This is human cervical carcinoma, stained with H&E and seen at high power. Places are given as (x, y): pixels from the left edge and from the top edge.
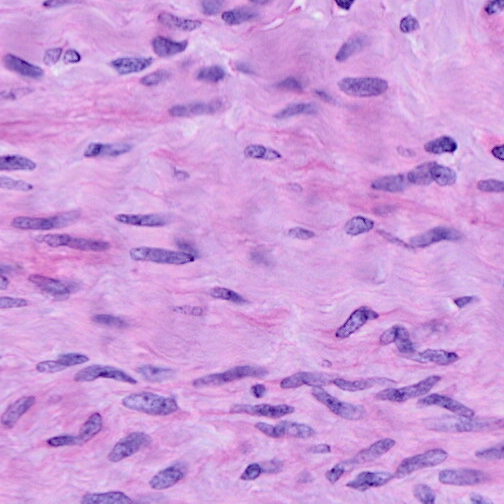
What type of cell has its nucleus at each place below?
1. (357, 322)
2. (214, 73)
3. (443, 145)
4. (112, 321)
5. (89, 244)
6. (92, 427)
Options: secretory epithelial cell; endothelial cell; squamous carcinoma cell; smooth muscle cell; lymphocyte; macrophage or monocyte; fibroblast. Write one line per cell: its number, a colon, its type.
1: smooth muscle cell
2: fibroblast
3: fibroblast
4: fibroblast
5: smooth muscle cell
6: smooth muscle cell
